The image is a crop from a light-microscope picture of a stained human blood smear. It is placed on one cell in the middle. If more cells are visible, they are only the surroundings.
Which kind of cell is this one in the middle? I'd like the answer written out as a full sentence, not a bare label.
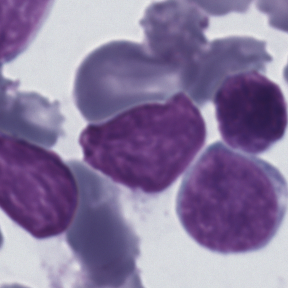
In short, the cell at the center is a myeloblast.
